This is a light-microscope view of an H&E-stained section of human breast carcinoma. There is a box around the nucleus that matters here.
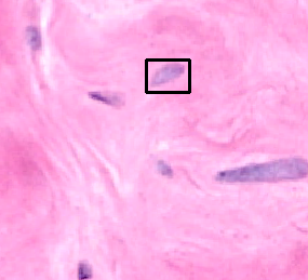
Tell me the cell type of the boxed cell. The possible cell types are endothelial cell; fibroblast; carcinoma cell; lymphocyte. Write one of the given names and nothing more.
fibroblast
